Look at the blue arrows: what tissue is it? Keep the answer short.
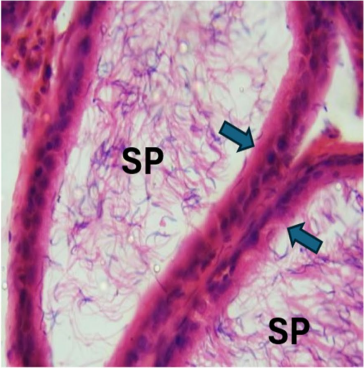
columnar epithelial lining of the epididymis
